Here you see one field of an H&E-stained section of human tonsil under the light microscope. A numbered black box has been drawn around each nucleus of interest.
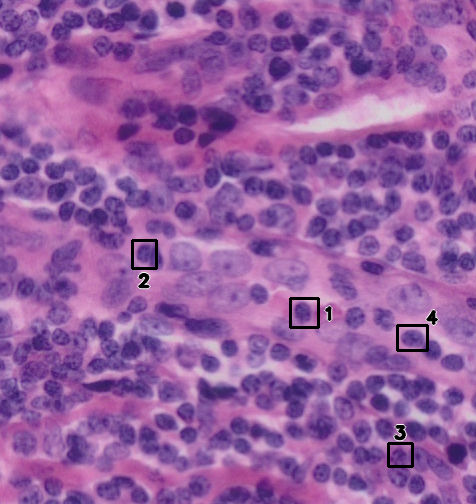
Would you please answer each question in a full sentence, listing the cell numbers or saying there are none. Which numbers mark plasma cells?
Exactly one of the numbered cells is a plasma cell, namely cell 3.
